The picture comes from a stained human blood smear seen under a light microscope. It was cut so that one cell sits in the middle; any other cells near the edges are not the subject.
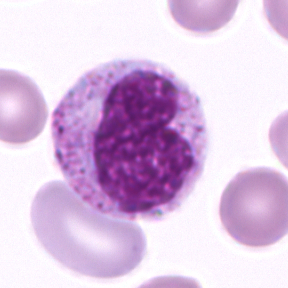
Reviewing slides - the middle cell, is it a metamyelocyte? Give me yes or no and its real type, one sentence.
No, the cell centered in the crop is a band neutrophil, not a metamyelocyte.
